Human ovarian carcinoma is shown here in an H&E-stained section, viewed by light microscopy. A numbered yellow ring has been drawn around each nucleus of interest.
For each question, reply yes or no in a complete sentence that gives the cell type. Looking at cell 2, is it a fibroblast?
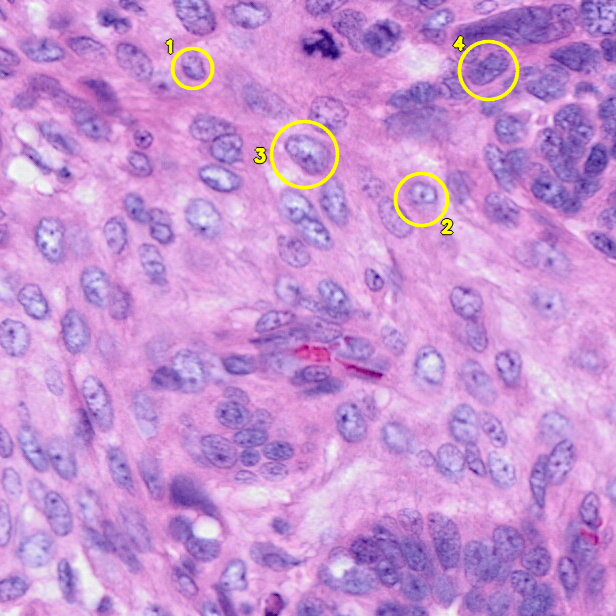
Yes, in this section the cell with number 2 is a fibroblast.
